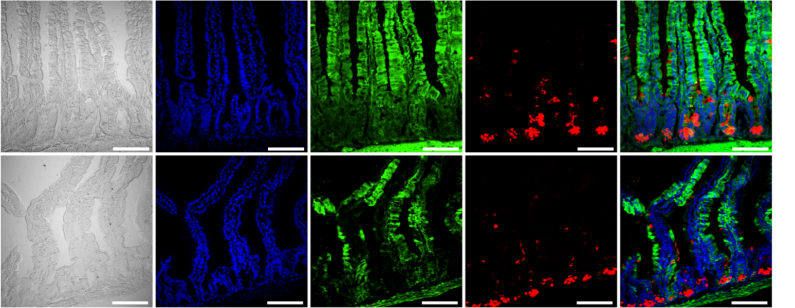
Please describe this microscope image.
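These are sections of small intestinal mucosa, with finger-like villi rising from crypts that sit above a thin band of smooth muscle at the bottom. Blue nuclei line the epithelium of each villus and crowd the crypts, and green fluorescence fills the epithelial cells. In the lower row the green is patchy, with some stretches of epithelium bright and neighbouring ones dark.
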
